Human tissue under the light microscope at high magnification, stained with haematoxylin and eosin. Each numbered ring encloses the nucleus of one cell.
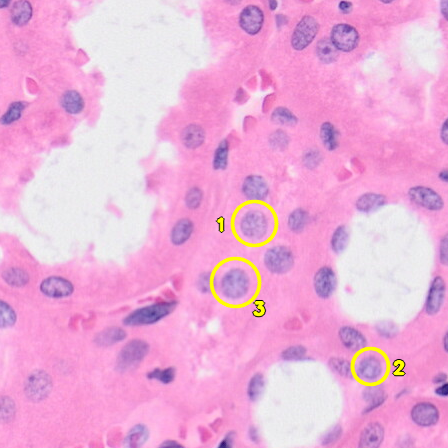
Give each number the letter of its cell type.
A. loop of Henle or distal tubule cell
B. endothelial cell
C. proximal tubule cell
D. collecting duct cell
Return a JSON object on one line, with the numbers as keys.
{"1": "A", "2": "D", "3": "A"}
